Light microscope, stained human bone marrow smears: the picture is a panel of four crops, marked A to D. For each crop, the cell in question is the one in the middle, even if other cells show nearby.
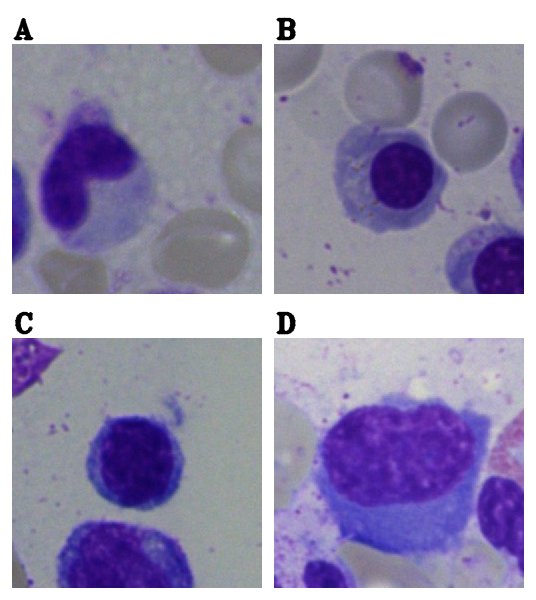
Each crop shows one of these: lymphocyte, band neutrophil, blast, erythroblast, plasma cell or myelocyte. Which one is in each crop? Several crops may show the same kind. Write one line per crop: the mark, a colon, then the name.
A: band neutrophil
B: erythroblast
C: lymphocyte
D: plasma cell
